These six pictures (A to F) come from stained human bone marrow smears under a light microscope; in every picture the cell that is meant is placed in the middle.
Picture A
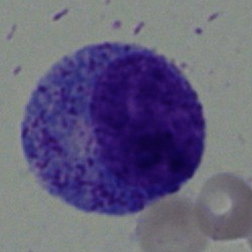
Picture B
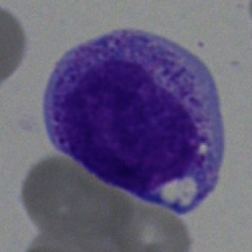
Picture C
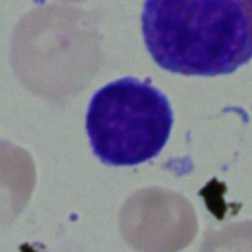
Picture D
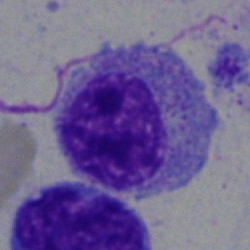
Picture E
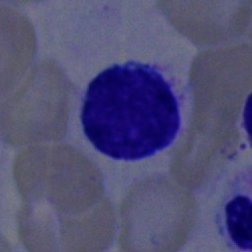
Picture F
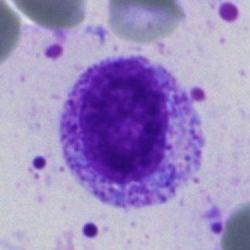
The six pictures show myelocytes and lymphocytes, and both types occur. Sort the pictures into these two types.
A: myelocyte
B: myelocyte
C: lymphocyte
D: myelocyte
E: lymphocyte
F: myelocyte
